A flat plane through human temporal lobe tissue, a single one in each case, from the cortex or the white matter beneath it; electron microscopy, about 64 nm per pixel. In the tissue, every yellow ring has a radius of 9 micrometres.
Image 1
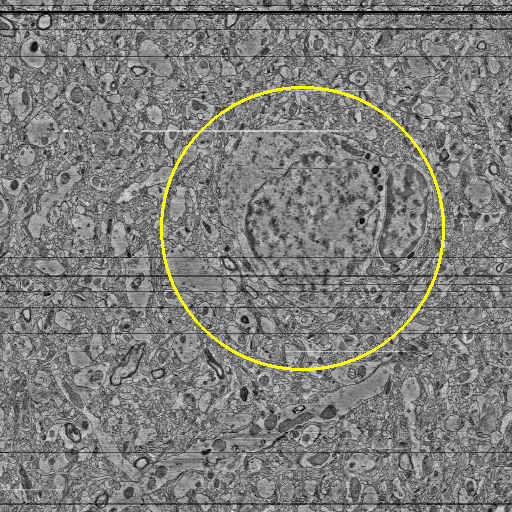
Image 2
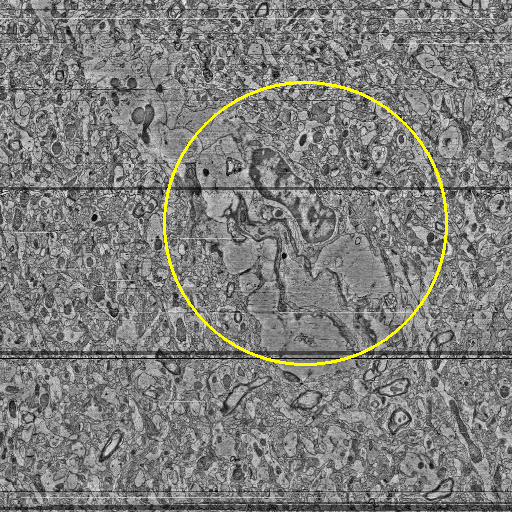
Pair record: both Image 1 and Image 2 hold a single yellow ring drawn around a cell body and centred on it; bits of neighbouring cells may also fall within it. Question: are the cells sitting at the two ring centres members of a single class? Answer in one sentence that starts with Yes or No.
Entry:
No, the ring-centre cells in Image 1 and Image 2 come from two classes.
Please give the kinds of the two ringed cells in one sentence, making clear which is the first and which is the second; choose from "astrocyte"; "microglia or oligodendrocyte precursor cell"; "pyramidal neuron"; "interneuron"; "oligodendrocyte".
In the second picture the ringed cell is a microglial cell or oligodendrocyte precursor cell; in the first it is an interneuron.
